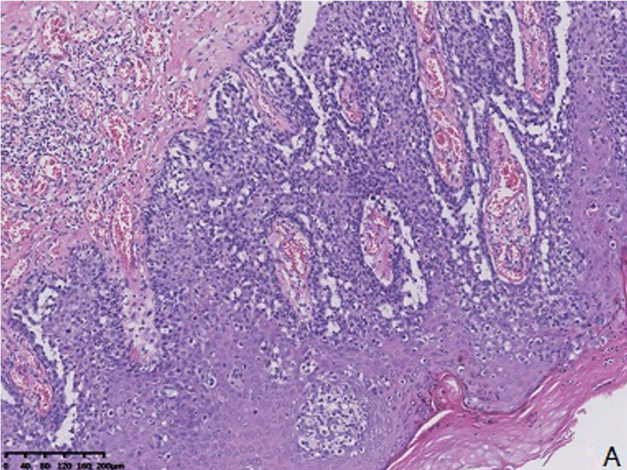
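A section of squamous epithelium is crowded by a population of large atypical cells, consistent with Paget's cells, lying among the keratinocytes. A pink layer of keratin covers the surface at the lower right. Elongated dermal papillae with congested, red blood-filled vessels project into the epithelium. Near the surface, single large cells and small clusters with pale, clear cytoplasm and round dark nuclei lie scattered among the pink-staining keratinocytes. The deeper part of the epithelium is densely packed with cells with dark nuclei.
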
